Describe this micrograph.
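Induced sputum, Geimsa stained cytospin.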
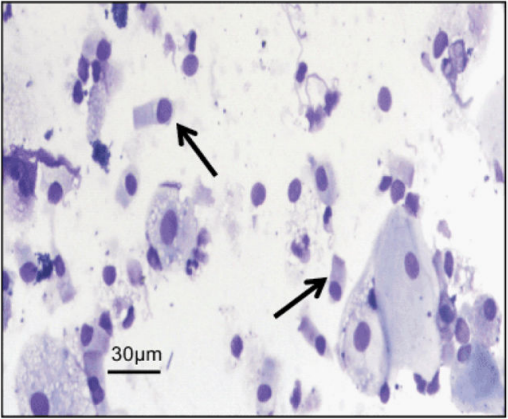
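The bronchial epithelial cells are columnar, with a round purple nucleus at one end and pale blue cytoplasm extending away from it. The squamous cells are broad and polygonal with a small central nucleus.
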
